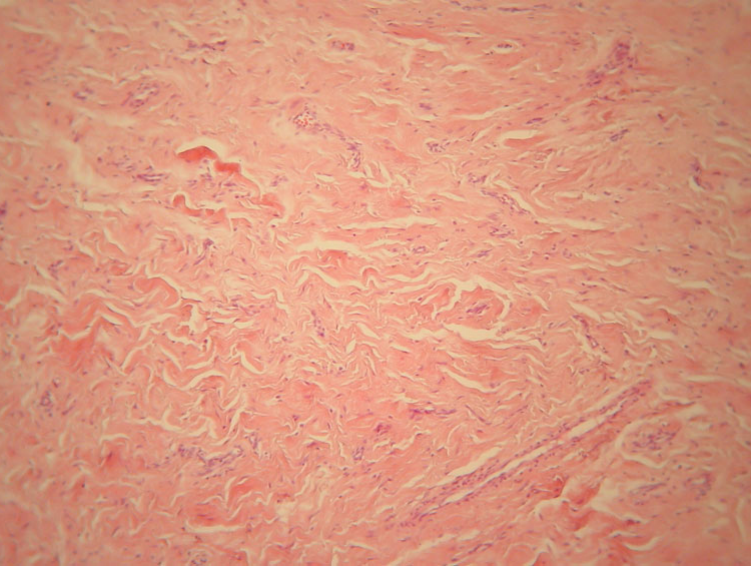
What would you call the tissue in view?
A: connective tissue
